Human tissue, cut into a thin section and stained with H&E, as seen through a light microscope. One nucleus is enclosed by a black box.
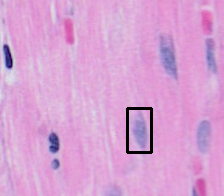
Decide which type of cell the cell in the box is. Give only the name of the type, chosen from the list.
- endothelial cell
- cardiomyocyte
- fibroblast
endothelial cell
